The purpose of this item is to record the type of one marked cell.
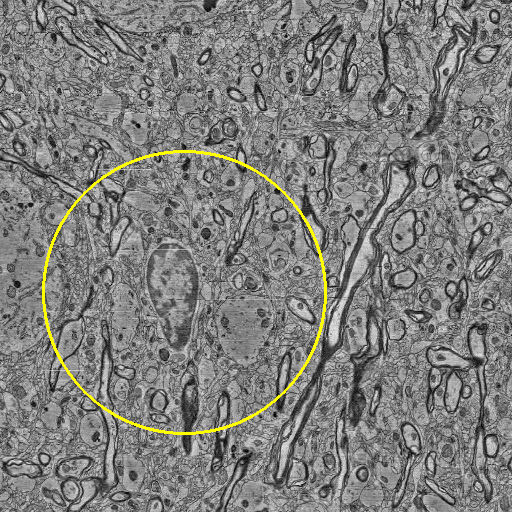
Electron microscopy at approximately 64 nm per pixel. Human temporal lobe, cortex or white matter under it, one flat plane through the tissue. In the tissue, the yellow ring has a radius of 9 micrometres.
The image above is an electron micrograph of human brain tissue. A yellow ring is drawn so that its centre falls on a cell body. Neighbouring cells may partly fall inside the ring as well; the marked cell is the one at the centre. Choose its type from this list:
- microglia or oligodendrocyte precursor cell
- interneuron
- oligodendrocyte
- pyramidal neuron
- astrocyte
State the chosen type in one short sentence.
What the ring marks here is a microglial cell or oligodendrocyte precursor cell.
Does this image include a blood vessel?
No, the image shows no blood vessel.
